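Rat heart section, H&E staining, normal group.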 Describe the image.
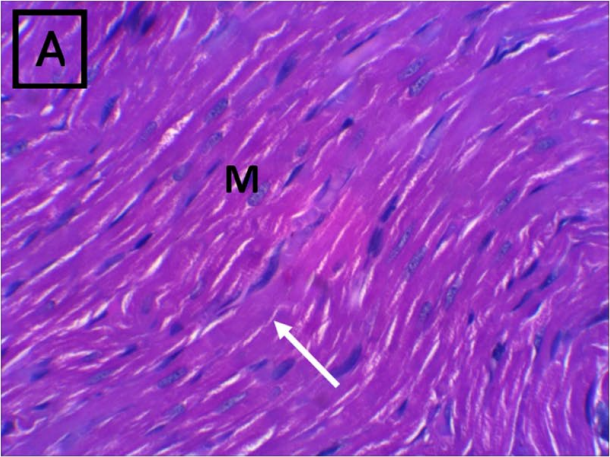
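Cardiac muscle tissue in longitudinal section, made of elongated, branching myocardial fibers that run in parallel, wavy bundles. The fibers stain evenly pink to magenta and are closely packed, separated only by narrow, thin white clefts. Each fiber holds oval to elongated, pale purple nuclei lying centrally and aligned with the long axis of the fiber. Scattered darker, thinner nuclei between the fibers belong to interstitial cells.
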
